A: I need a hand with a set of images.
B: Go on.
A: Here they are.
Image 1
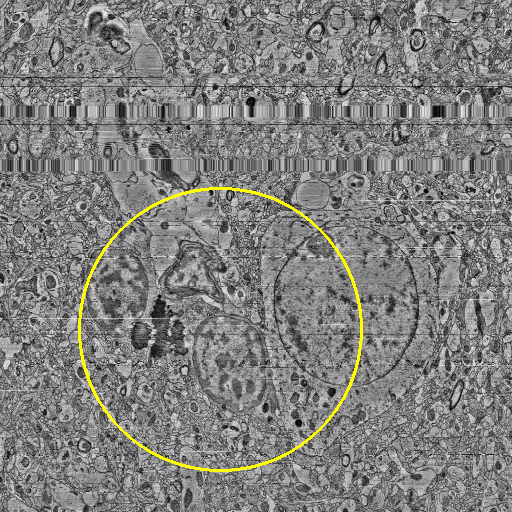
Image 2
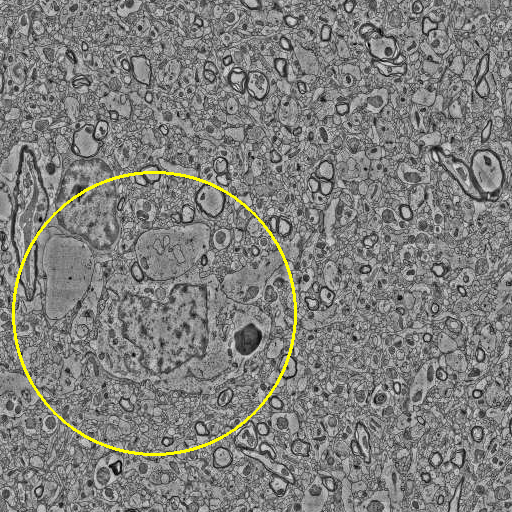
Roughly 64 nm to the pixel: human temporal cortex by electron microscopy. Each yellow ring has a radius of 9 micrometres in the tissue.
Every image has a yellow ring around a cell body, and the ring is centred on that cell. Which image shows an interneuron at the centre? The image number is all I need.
2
